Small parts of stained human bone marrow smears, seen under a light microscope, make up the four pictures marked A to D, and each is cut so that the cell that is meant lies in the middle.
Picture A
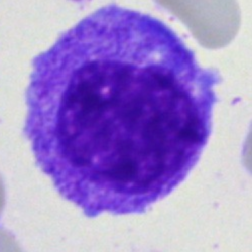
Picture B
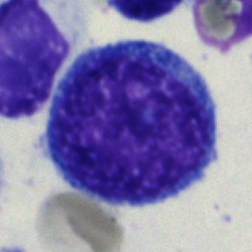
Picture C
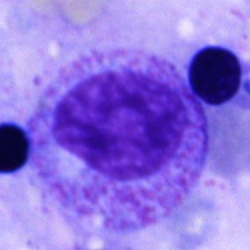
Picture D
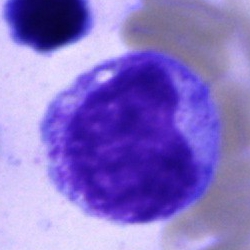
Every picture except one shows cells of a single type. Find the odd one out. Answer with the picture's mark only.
B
